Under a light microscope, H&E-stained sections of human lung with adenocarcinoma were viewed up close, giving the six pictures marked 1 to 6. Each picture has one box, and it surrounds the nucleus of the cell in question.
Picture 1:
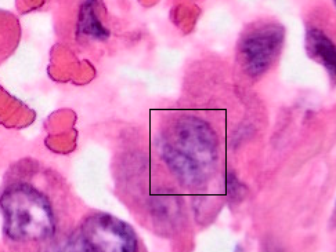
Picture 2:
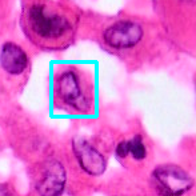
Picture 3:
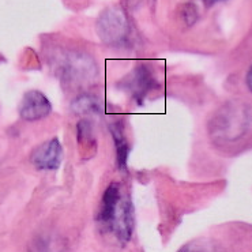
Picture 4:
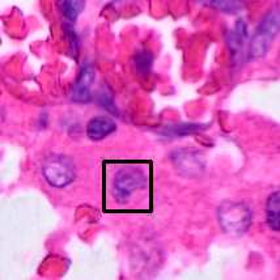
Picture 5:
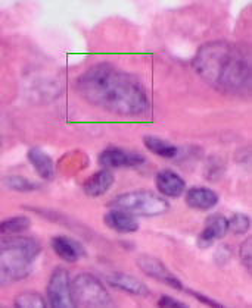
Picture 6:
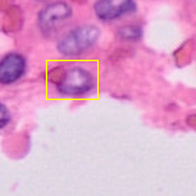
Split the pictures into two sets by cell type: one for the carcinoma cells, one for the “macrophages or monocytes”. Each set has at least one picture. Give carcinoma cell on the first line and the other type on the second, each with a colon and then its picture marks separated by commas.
carcinoma cell: 1, 3, 5
macrophage or monocyte: 2, 4, 6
